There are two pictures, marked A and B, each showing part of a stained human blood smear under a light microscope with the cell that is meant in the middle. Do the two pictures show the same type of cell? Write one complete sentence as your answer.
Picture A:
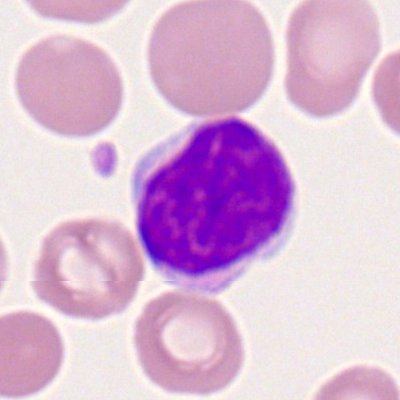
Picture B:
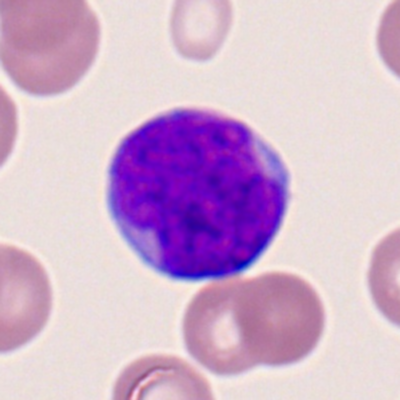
No, picture A shows a lymphocyte and picture B shows a myeloblast.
